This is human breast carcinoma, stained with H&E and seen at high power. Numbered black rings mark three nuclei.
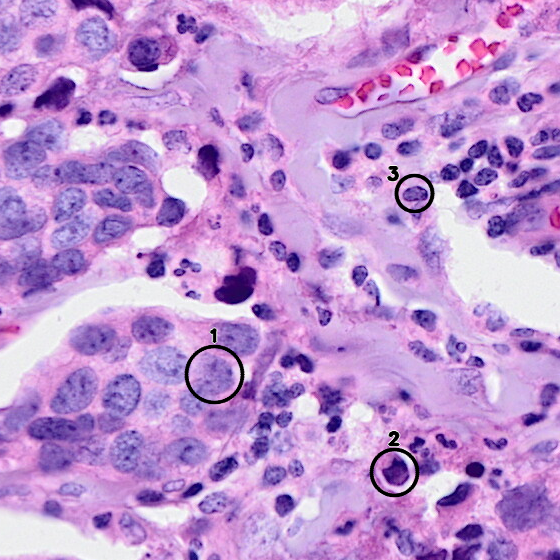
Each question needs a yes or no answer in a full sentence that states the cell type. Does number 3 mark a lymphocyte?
Yes, correct, the cell with the number 3 is a lymphocyte.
